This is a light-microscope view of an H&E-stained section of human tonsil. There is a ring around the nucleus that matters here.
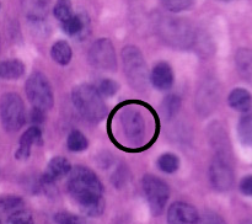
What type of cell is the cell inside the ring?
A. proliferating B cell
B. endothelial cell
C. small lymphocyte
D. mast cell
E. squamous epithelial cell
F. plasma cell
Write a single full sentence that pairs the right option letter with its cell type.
The statement that the cell inside the ring is a squamous epithelial cell corresponds to option E, the correct one.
